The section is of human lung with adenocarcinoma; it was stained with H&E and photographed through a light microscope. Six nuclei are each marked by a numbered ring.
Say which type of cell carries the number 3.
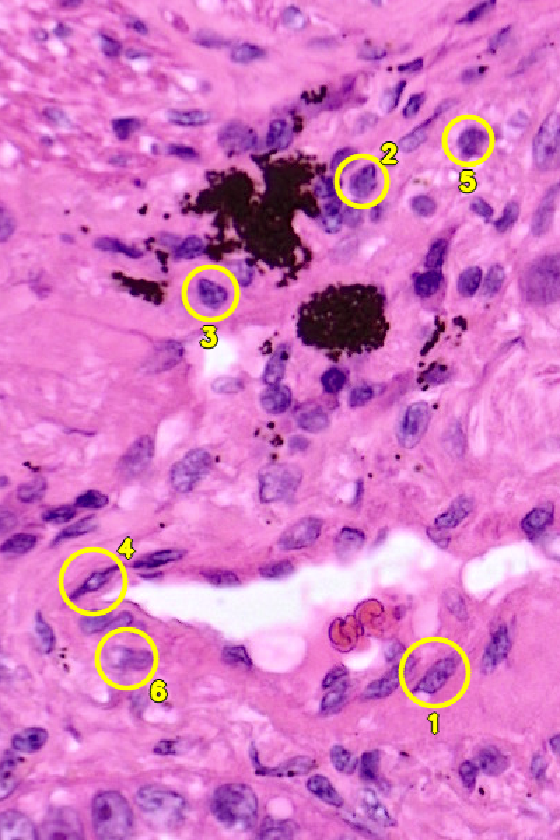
mast cell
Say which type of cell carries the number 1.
smooth muscle cell or pericyte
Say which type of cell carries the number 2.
lymphocyte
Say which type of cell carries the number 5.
plasma cell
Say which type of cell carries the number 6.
smooth muscle cell or pericyte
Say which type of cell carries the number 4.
smooth muscle cell or pericyte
